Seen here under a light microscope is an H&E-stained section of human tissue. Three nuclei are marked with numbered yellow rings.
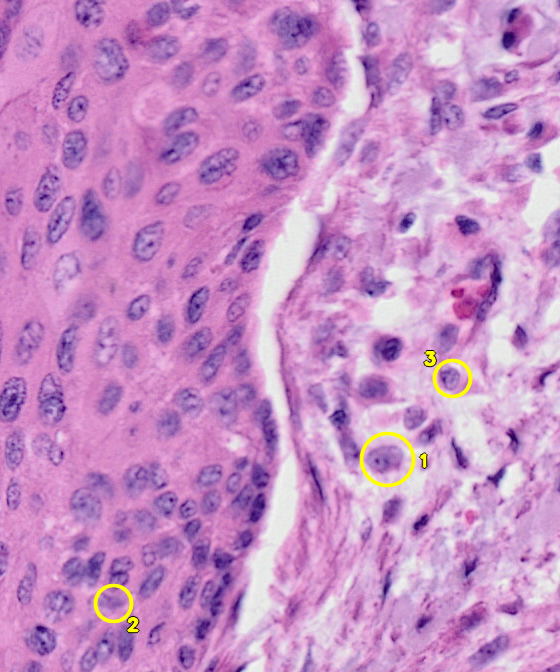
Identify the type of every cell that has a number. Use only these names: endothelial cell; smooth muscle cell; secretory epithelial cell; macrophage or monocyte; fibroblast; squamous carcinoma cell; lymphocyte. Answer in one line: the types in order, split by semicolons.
fibroblast; squamous carcinoma cell; macrophage or monocyte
